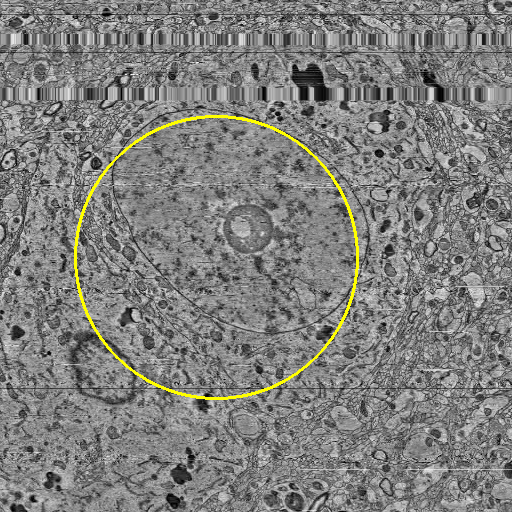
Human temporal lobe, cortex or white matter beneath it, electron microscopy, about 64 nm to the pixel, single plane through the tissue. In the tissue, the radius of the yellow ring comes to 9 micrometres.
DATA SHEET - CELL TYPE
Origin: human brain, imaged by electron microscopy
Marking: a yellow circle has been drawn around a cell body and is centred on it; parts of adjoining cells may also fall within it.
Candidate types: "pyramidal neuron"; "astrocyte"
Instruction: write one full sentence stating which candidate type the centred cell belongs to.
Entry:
The cell body at the centre of the yellow ring in this micrograph belongs to a pyramidal neuron.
